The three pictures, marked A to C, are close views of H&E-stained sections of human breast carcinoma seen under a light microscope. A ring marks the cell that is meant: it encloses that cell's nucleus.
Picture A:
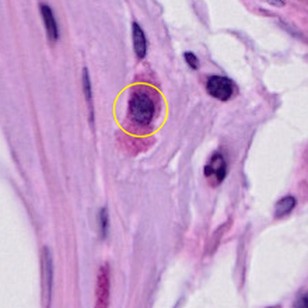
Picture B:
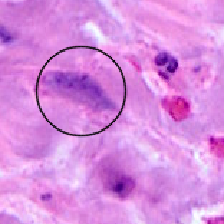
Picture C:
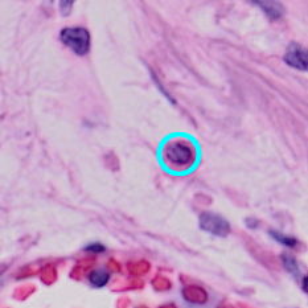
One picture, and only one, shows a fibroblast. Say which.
B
